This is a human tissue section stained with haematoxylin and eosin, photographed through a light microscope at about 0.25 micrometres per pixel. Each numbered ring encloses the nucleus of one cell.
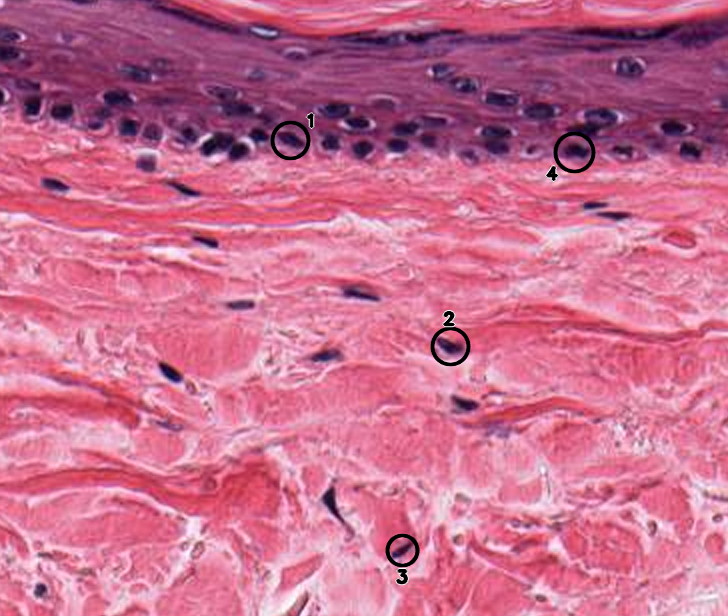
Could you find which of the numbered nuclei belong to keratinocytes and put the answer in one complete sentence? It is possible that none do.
Nuclei with the numbers 1 and 4 are part of keratinocytes.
